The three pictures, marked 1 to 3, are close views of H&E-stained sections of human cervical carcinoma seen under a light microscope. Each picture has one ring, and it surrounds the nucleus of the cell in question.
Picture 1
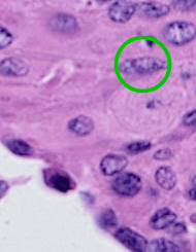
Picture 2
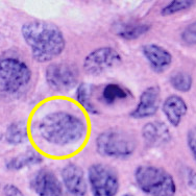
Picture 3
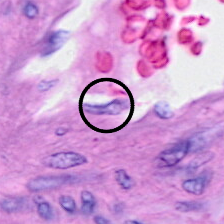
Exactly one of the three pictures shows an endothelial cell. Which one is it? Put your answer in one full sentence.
The endothelial cell is the one in picture 3.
